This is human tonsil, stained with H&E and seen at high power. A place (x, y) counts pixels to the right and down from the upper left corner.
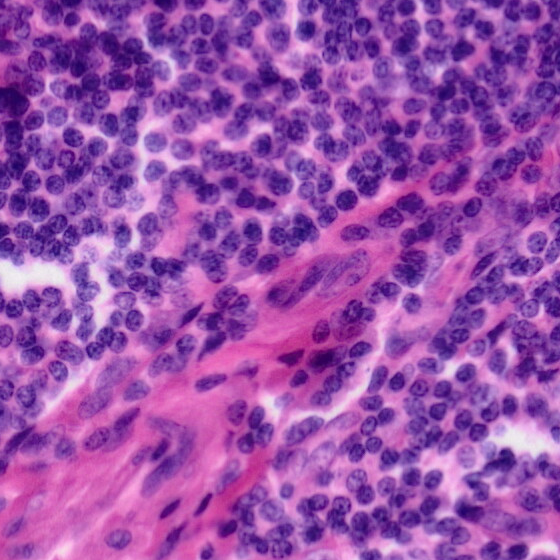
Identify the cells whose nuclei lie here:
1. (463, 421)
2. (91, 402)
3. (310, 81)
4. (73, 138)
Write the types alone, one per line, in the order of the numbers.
small lymphocyte
endothelial cell
small lymphocyte
small lymphocyte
